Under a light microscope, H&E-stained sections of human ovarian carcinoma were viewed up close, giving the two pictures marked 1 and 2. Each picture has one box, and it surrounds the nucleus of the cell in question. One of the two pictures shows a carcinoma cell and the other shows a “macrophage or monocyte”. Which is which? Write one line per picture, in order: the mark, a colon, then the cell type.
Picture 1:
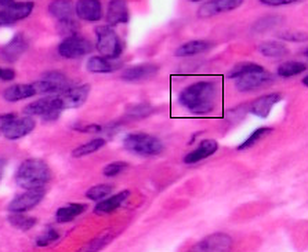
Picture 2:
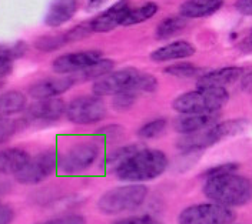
1: macrophage or monocyte
2: carcinoma cell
